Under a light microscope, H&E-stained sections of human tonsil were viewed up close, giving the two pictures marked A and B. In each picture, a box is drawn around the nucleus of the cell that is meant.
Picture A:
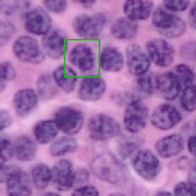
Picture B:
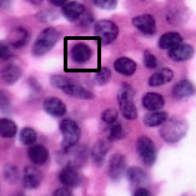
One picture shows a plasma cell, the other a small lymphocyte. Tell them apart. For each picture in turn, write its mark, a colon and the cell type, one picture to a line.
A: small lymphocyte
B: plasma cell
